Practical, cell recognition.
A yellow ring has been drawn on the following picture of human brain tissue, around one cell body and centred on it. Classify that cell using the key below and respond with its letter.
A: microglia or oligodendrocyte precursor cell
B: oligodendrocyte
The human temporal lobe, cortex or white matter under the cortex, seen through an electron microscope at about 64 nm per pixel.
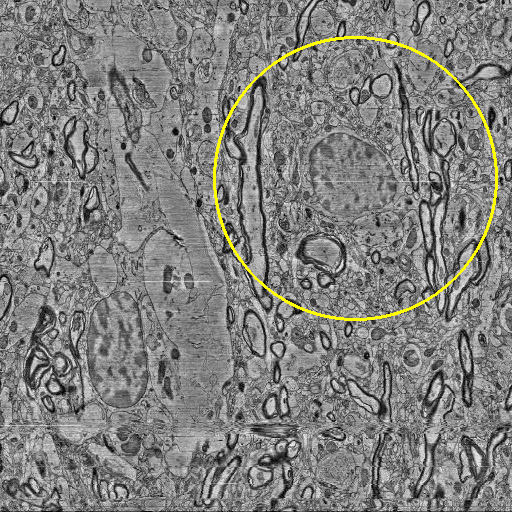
B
